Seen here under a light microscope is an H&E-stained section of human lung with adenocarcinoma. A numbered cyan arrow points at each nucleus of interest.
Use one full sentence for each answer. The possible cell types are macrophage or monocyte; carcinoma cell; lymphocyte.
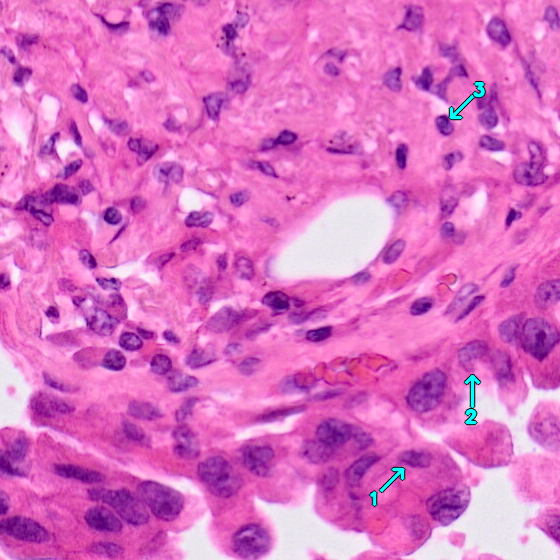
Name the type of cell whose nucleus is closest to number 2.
Closest to number 2 lies the nucleus of a carcinoma cell.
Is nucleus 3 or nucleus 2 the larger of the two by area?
Nucleus 2 is the larger one, covering about 2.5 times the area of nucleus 3.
